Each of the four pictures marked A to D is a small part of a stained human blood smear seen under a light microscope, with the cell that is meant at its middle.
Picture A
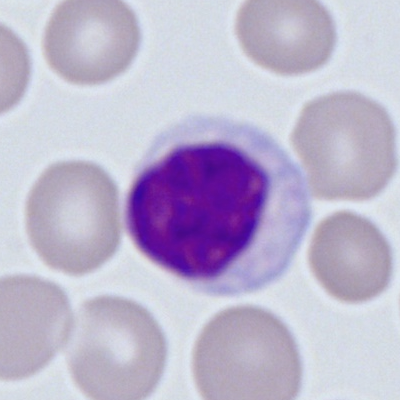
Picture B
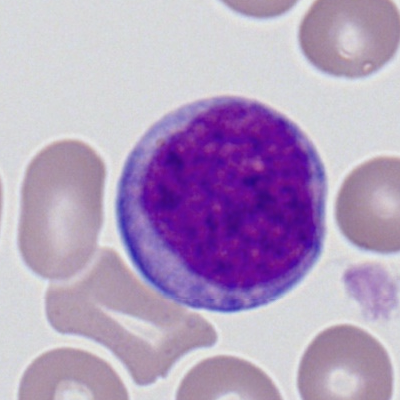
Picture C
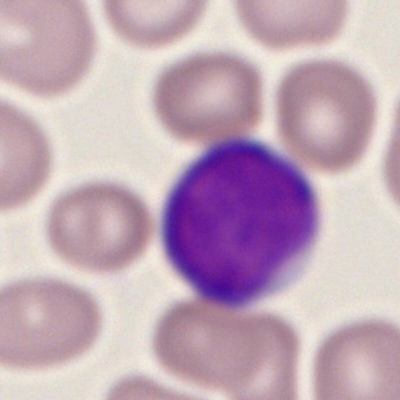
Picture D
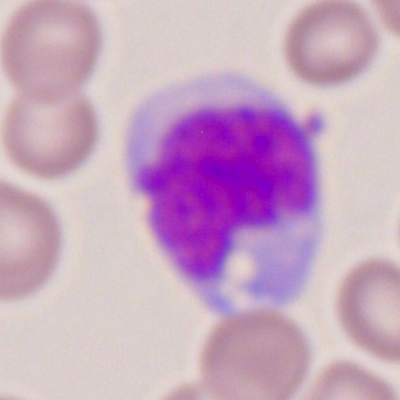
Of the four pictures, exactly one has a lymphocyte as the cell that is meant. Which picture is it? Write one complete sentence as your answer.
Picture A is the one that shows the lymphocyte.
